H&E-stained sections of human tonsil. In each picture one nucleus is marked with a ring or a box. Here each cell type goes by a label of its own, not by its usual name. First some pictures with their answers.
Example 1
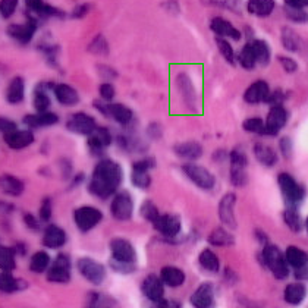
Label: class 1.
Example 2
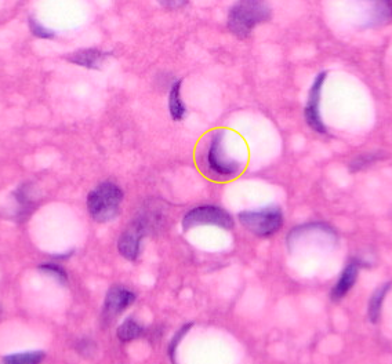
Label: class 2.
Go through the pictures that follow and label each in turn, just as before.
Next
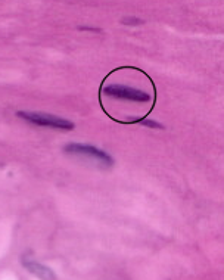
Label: class 2.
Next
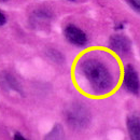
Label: class 2.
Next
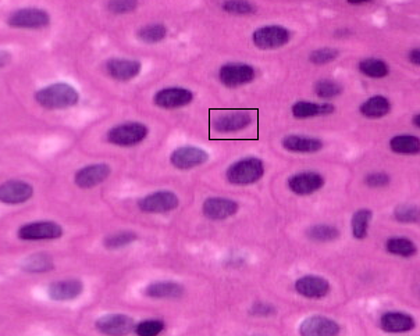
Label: class 2.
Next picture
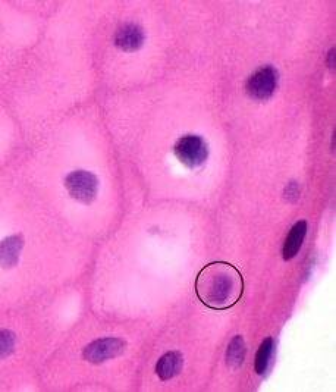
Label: class 2.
